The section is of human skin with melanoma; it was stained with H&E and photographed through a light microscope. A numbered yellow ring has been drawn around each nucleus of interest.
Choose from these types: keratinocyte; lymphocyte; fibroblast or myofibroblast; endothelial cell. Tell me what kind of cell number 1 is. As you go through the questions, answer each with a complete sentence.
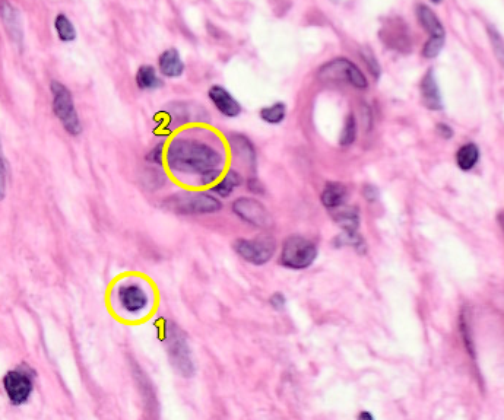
Cell 1, among those numbered, is a lymphocyte.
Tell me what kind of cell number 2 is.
The cell that carries the label 2 is an endothelial cell.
